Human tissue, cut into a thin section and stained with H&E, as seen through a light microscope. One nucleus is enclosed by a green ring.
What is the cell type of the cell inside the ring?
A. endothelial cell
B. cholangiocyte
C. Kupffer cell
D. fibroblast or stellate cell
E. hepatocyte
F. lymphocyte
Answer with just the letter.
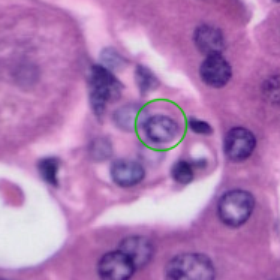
B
